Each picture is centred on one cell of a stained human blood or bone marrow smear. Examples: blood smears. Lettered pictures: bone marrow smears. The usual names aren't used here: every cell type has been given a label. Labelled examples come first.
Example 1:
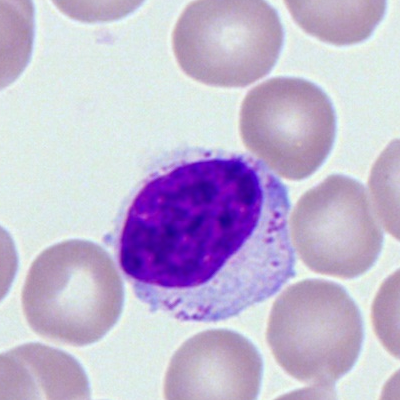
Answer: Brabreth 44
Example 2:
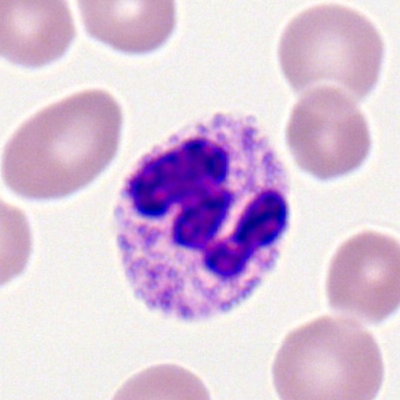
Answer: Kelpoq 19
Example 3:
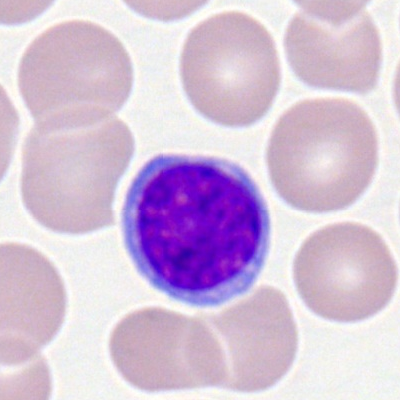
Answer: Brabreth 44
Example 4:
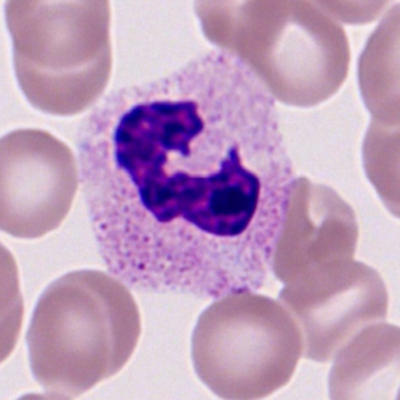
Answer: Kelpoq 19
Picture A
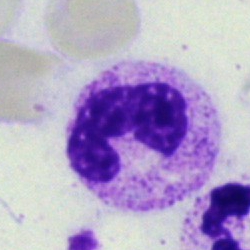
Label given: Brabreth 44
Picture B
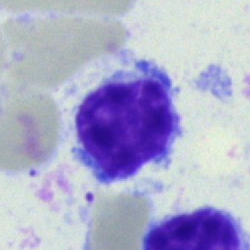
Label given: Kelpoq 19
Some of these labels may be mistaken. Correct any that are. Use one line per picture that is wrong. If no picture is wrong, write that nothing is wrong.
A: Kelpoq 19, not Brabreth 44
B: Brabreth 44, not Kelpoq 19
